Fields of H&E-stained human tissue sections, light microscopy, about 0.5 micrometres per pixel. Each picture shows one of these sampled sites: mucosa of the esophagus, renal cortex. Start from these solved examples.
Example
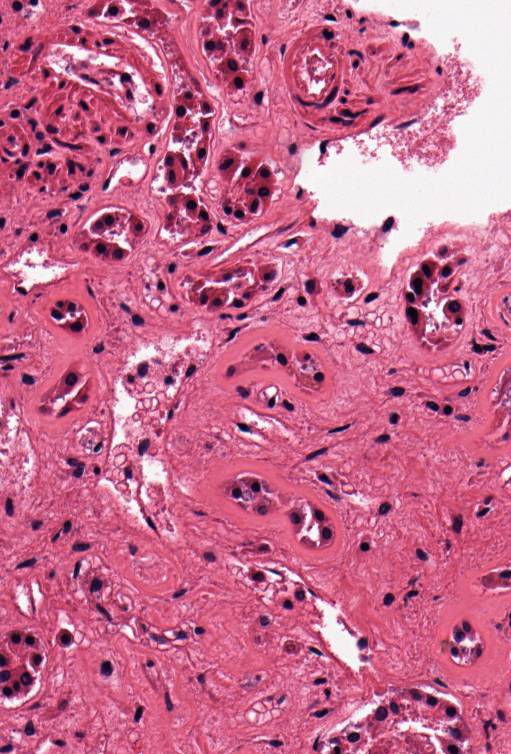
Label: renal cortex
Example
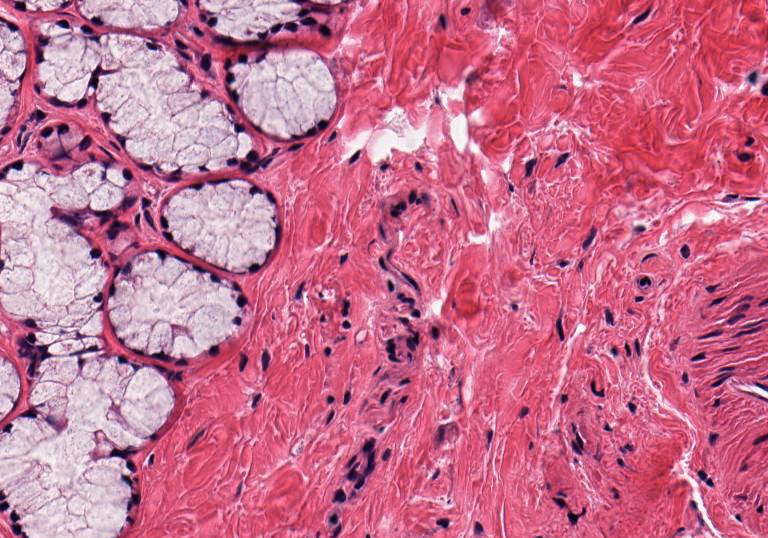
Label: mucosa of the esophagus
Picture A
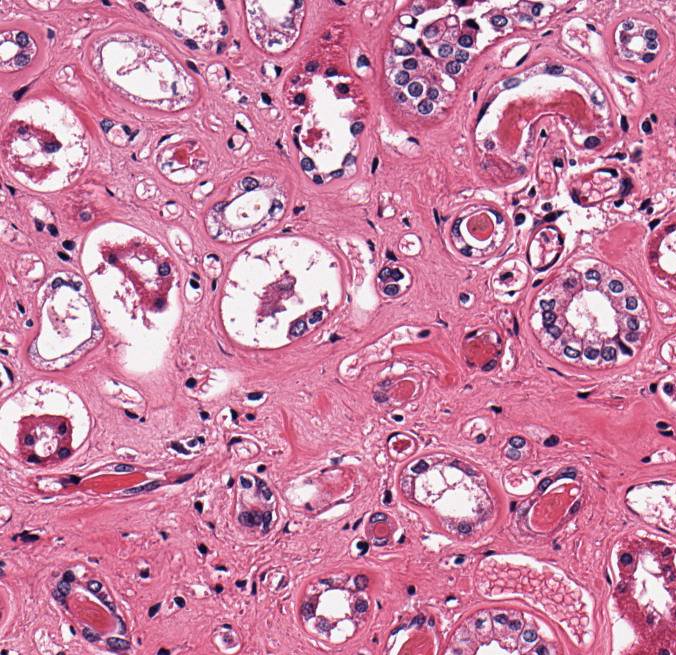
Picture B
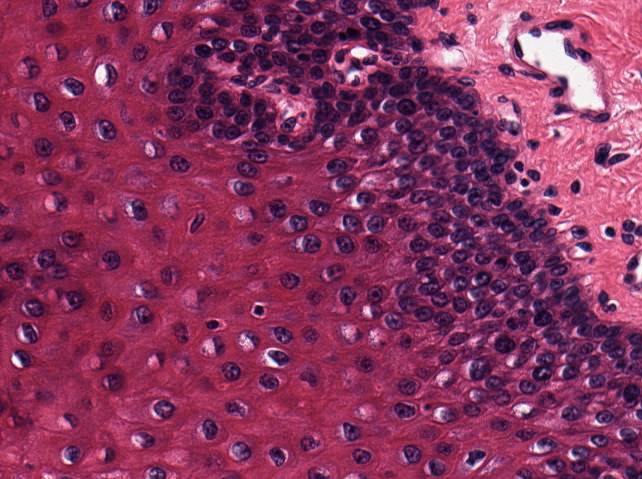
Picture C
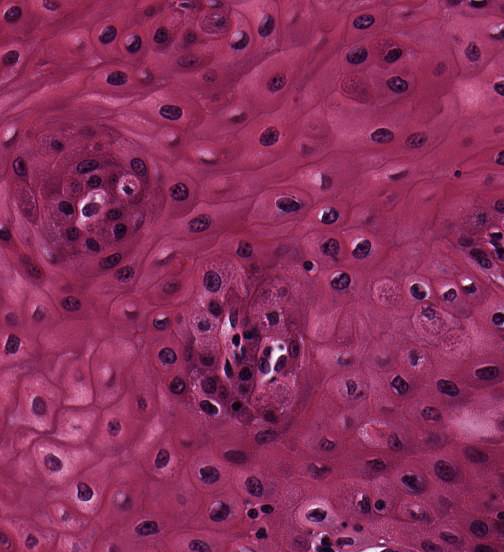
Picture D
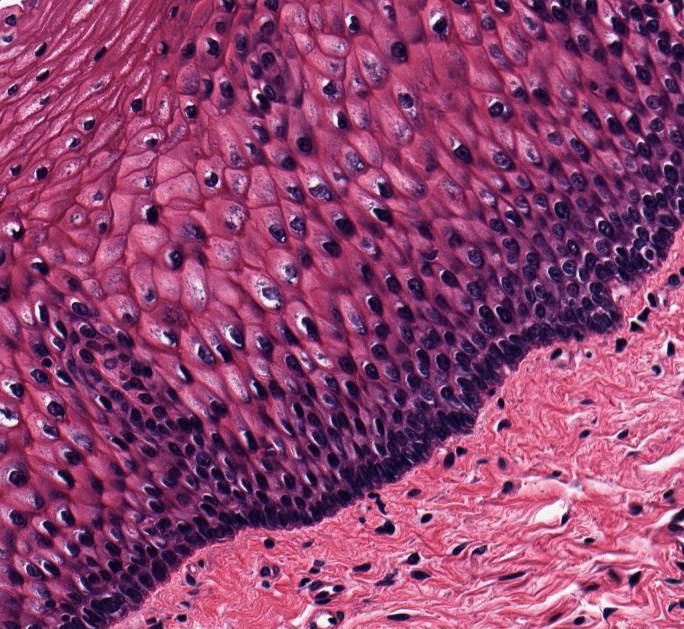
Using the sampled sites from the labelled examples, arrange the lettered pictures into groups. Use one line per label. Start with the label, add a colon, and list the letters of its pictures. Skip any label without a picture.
mucosa of the esophagus: B, C, D
renal cortex: A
